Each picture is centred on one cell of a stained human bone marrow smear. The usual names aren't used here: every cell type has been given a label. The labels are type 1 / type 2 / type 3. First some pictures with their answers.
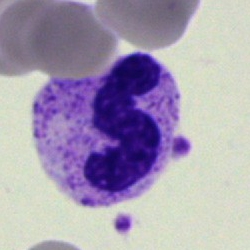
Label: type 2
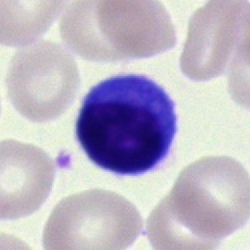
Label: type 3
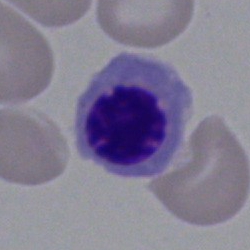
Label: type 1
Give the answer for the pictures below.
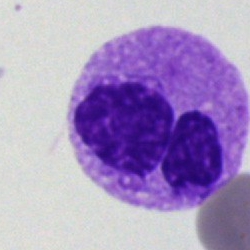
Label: type 2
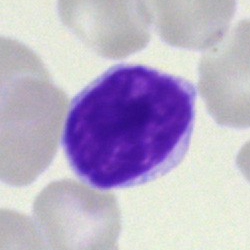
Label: type 3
